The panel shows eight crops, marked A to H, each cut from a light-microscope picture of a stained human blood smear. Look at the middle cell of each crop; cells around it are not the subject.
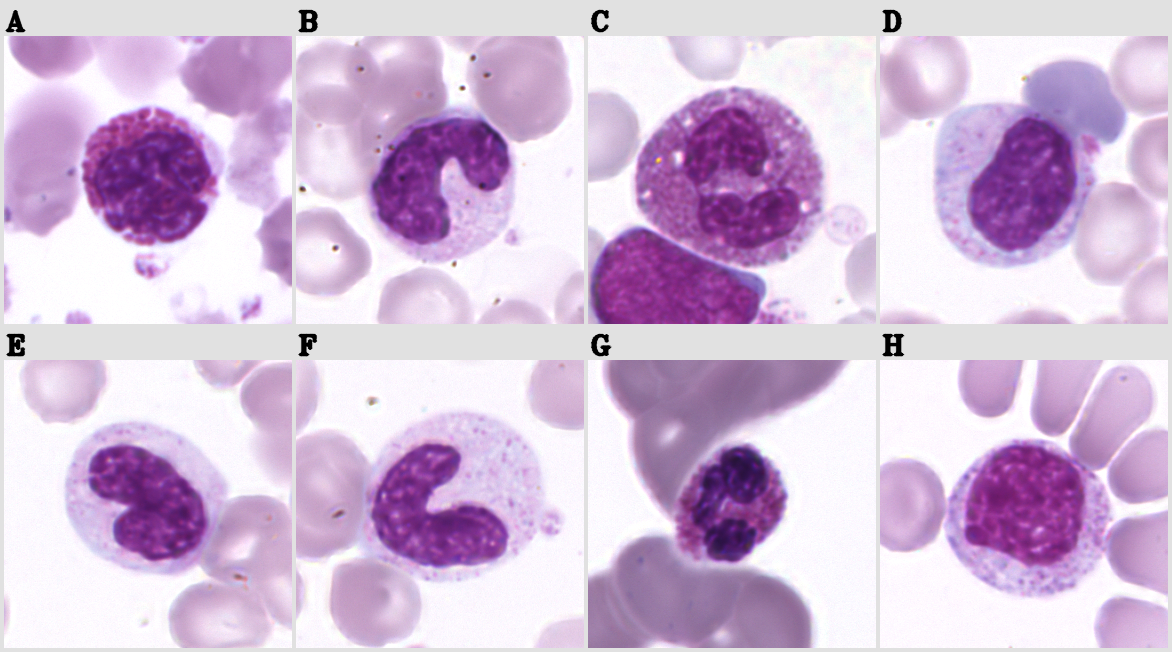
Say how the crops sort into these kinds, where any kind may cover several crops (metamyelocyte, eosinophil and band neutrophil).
A: eosinophil
B: band neutrophil
C: eosinophil
D: metamyelocyte
E: band neutrophil
F: band neutrophil
G: eosinophil
H: metamyelocyte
